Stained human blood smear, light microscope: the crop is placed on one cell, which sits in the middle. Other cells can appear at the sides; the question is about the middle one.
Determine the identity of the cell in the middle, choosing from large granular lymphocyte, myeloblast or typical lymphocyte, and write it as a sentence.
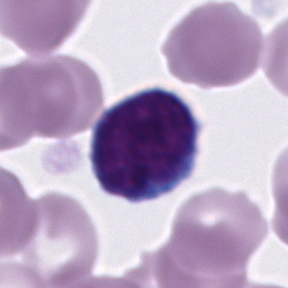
The identification for the central cell is a typical lymphocyte.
